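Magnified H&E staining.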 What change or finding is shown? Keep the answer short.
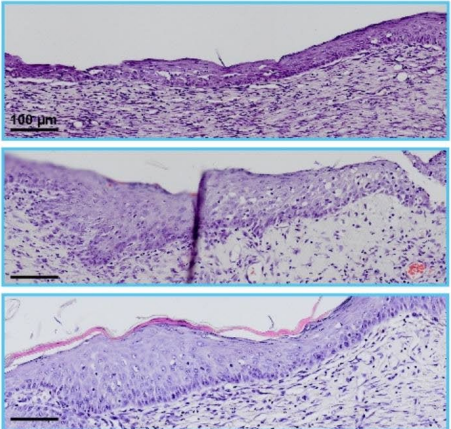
Hyperproliferative epidermis layer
